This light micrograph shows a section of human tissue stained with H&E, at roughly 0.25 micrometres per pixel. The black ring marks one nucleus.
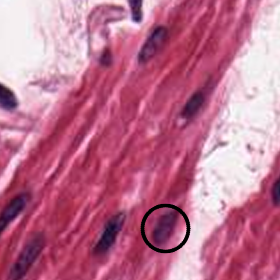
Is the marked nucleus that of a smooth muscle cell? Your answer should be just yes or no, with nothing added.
yes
